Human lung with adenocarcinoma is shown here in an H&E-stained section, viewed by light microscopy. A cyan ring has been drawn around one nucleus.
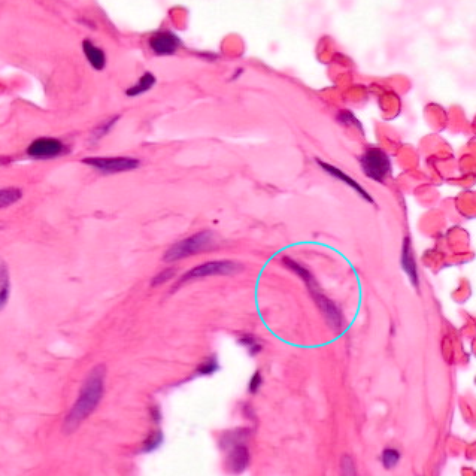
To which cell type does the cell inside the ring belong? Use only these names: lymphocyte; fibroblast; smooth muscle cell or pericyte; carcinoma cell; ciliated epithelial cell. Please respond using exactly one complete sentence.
In terms of identity, the cell inside the ring is a smooth muscle cell or pericyte.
